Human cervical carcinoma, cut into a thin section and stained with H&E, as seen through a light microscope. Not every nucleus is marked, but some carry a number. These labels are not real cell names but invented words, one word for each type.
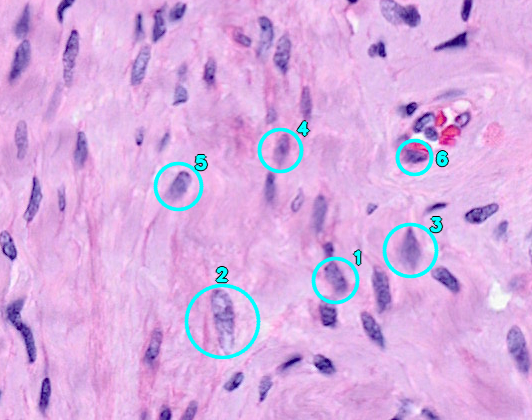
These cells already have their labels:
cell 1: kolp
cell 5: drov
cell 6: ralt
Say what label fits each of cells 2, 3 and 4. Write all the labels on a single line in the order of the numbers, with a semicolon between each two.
kolp; drov; kolp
